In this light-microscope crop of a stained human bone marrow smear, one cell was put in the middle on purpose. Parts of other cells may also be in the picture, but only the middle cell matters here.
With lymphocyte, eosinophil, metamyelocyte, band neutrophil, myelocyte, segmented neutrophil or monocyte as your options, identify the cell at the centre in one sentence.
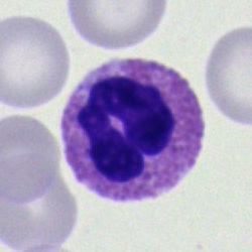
The central element of this crop is a cell, namely an eosinophil.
